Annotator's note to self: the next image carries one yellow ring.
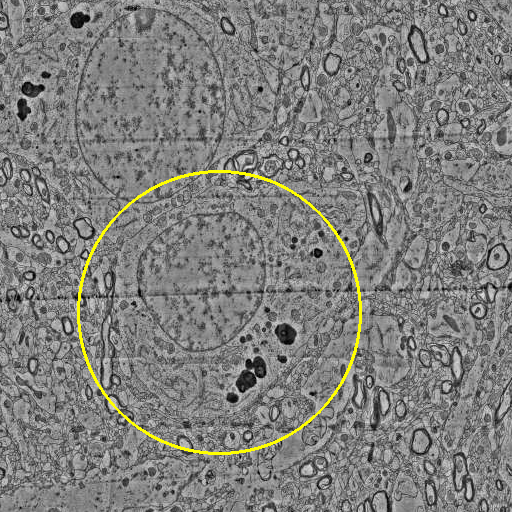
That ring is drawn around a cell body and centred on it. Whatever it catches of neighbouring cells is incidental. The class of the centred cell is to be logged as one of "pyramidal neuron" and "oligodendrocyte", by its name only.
pyramidal neuron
